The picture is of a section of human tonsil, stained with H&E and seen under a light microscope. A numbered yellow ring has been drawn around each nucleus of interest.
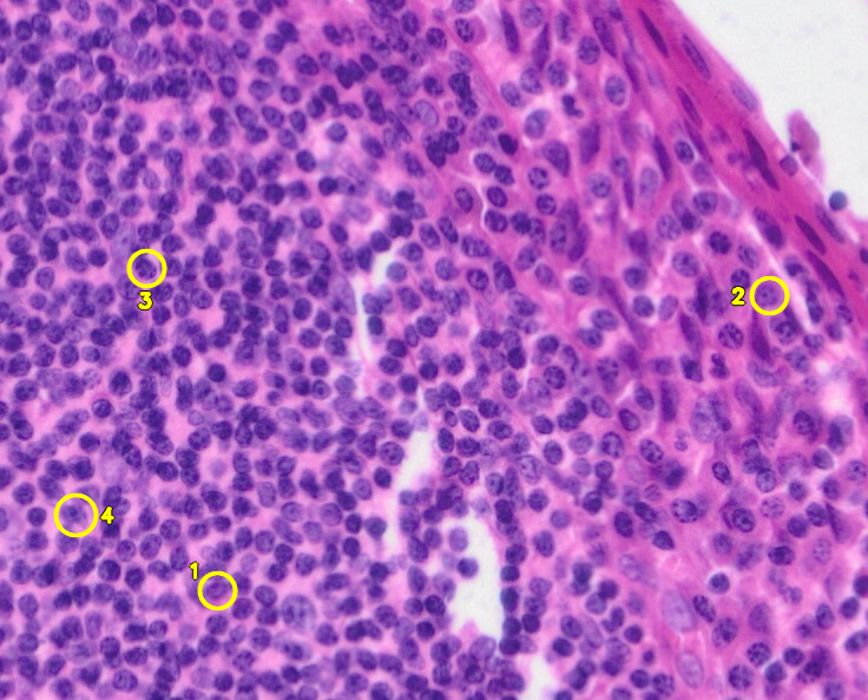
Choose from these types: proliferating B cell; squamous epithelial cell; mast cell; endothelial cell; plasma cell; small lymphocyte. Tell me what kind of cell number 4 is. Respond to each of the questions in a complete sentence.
Cell 4 should be recorded as a small lymphocyte.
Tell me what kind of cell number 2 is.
Cell 2, as marked in the section, is a plasma cell.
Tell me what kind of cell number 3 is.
The marked cell bearing number 3 is a small lymphocyte.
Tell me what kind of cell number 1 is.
The correct label for cell 1 is a small lymphocyte.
